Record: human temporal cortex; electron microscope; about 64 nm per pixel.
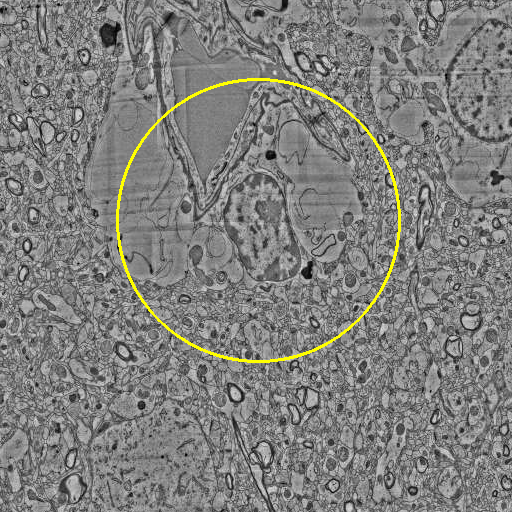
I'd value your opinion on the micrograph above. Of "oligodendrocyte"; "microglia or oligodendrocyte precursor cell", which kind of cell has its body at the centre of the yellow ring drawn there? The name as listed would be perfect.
microglia or oligodendrocyte precursor cell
